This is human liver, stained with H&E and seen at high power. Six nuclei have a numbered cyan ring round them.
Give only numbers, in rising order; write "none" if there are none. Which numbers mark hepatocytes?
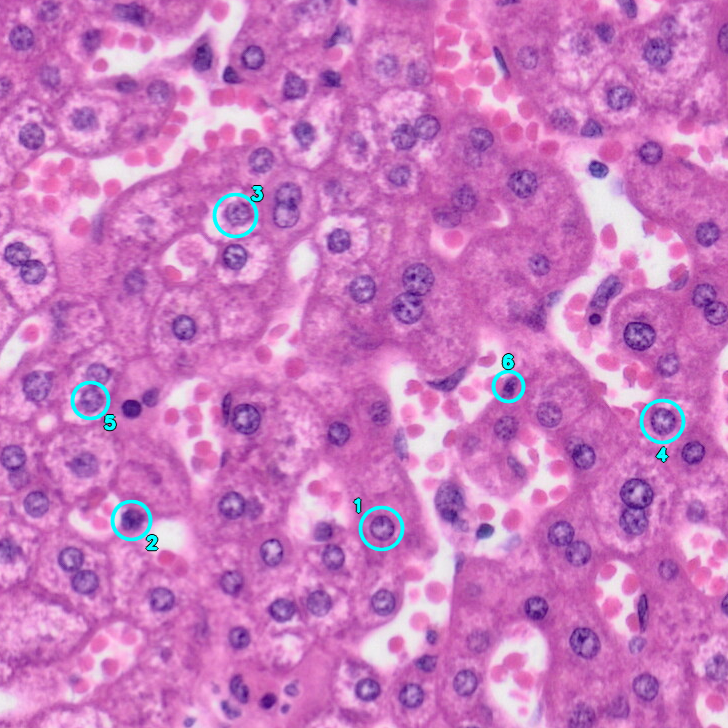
1, 3, 4, 5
